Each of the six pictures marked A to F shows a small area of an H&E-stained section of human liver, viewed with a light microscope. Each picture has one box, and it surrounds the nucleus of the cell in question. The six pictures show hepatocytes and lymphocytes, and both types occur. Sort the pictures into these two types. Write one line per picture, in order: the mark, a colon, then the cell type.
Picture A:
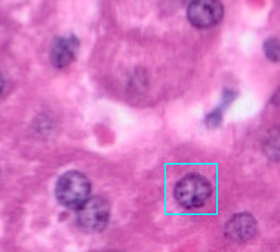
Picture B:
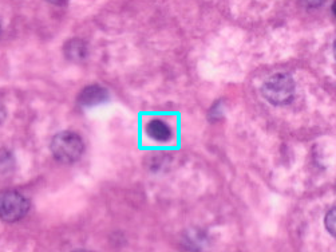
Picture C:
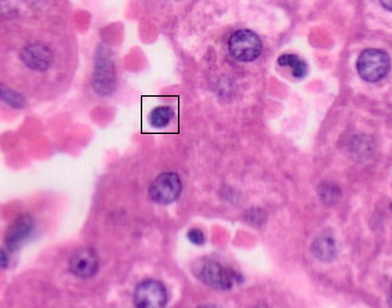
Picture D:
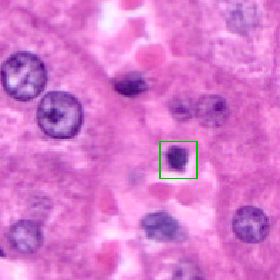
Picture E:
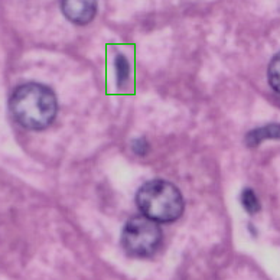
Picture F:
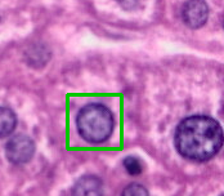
A: hepatocyte
B: lymphocyte
C: lymphocyte
D: lymphocyte
E: lymphocyte
F: hepatocyte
